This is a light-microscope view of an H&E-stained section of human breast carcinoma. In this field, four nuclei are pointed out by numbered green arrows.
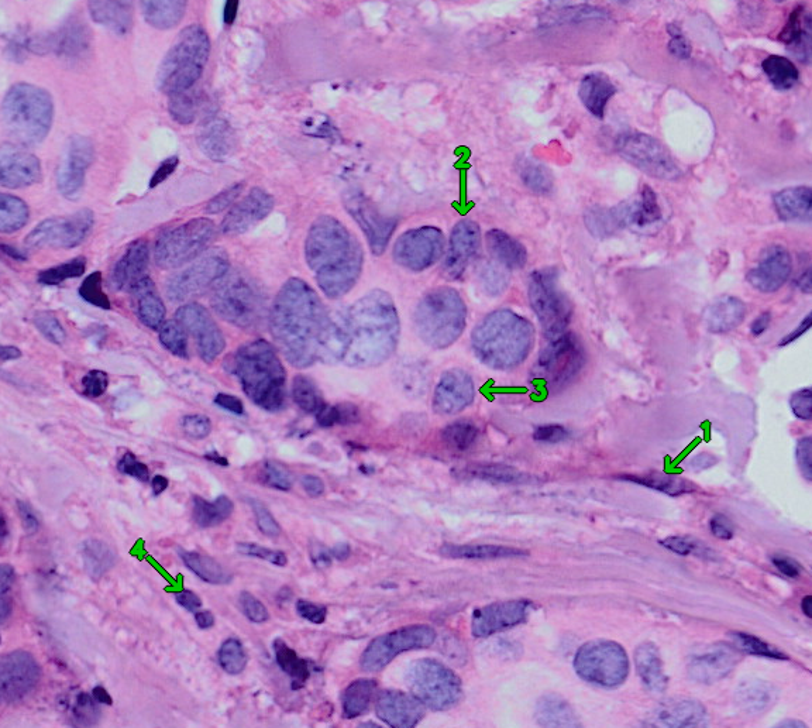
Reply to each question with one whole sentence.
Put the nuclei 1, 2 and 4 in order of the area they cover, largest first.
Largest first, the order by area is 2, 1, 4.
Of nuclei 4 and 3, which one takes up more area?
Number 3 is larger; its area is about 3 times that of number 4.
